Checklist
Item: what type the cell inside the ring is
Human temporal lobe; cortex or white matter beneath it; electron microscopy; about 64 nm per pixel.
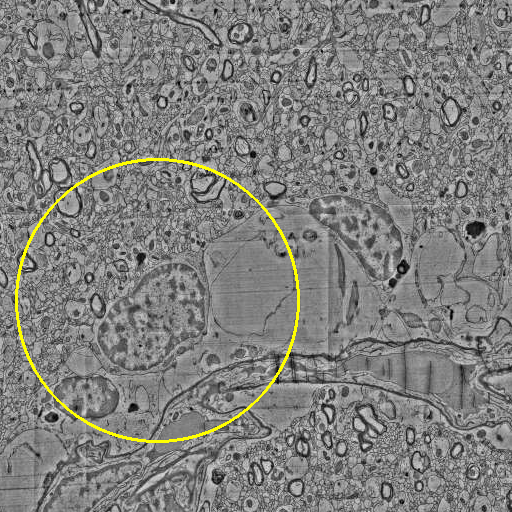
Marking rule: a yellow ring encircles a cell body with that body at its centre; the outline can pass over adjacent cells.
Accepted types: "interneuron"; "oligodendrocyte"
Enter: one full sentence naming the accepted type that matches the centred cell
The entry is that an oligodendrocyte lies at the centre of the yellow ring.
